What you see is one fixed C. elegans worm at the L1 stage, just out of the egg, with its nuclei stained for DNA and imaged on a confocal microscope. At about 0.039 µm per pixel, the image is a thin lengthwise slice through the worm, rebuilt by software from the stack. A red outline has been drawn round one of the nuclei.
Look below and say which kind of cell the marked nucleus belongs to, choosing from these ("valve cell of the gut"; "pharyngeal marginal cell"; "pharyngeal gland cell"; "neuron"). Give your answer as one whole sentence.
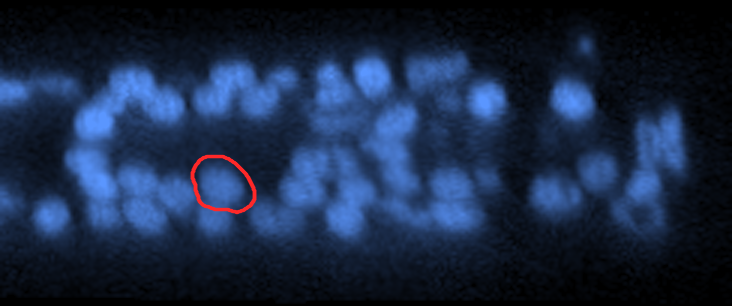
The cell with the marked nucleus is a neuron.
